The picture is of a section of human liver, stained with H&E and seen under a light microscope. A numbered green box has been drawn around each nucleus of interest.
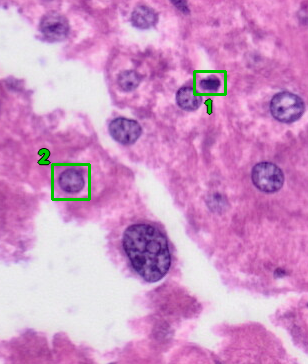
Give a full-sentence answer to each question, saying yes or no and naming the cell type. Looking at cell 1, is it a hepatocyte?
No, the right label for cell 1 is a lymphocyte rather than a hepatocyte.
